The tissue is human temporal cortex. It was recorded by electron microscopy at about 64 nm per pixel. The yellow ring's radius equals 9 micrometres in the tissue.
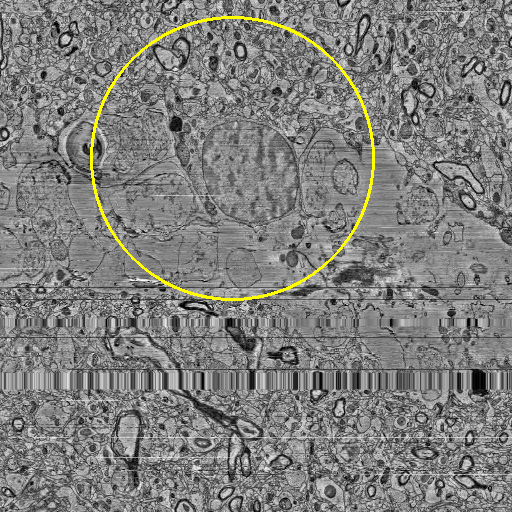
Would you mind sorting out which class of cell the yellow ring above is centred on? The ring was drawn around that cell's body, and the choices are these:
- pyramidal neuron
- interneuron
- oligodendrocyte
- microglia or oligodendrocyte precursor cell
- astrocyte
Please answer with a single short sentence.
This is the cell body of an oligodendrocyte.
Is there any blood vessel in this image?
Yes, a blood vessel is present in this picture.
